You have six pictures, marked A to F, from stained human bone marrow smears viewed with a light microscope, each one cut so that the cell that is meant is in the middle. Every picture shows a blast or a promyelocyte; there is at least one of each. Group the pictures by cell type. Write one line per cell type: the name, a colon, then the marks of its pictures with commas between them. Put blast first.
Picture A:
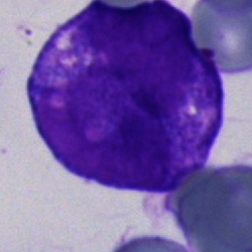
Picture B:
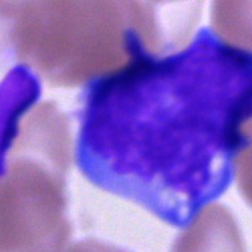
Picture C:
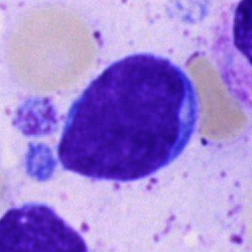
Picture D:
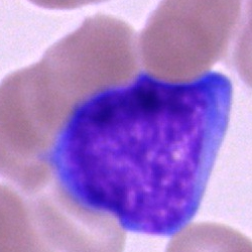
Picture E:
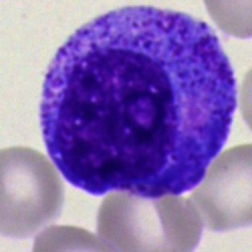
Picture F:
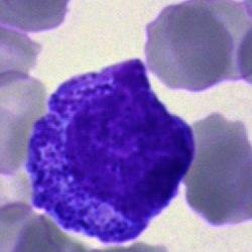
blast: A, B, C, D
promyelocyte: E, F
